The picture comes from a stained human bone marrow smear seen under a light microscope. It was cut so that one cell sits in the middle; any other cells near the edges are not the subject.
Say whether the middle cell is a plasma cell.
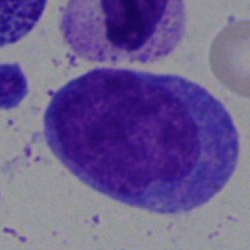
no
